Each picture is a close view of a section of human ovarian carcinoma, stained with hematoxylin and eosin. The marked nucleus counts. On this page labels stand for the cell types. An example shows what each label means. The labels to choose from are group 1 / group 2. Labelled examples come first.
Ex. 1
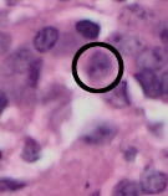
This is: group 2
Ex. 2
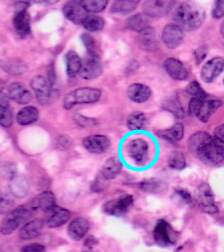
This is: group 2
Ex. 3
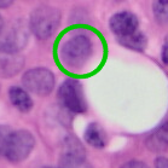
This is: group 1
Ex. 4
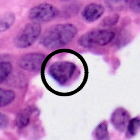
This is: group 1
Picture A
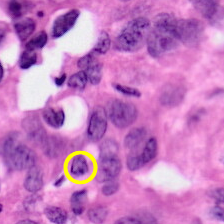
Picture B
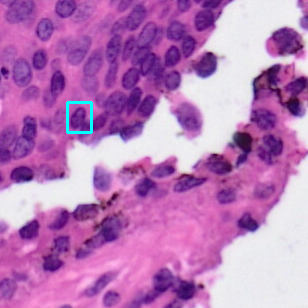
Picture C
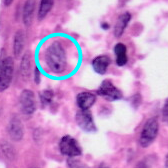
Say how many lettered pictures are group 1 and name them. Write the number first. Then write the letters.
1: B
